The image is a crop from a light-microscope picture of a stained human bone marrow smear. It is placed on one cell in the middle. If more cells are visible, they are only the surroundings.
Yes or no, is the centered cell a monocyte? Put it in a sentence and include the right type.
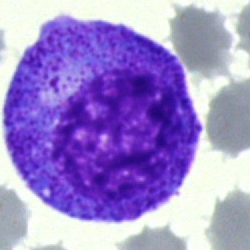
No, the cell at the centre of the crop is a promyelocyte and not a monocyte.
